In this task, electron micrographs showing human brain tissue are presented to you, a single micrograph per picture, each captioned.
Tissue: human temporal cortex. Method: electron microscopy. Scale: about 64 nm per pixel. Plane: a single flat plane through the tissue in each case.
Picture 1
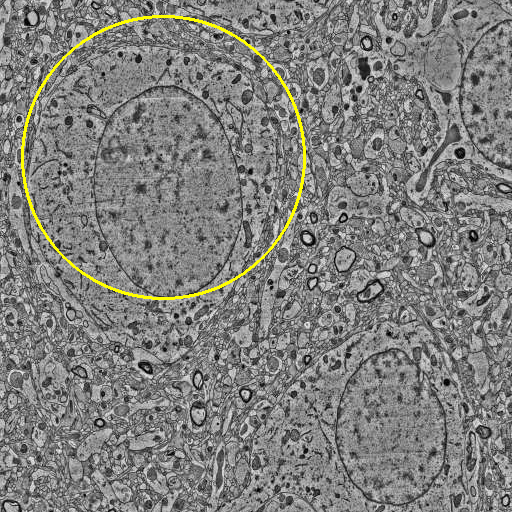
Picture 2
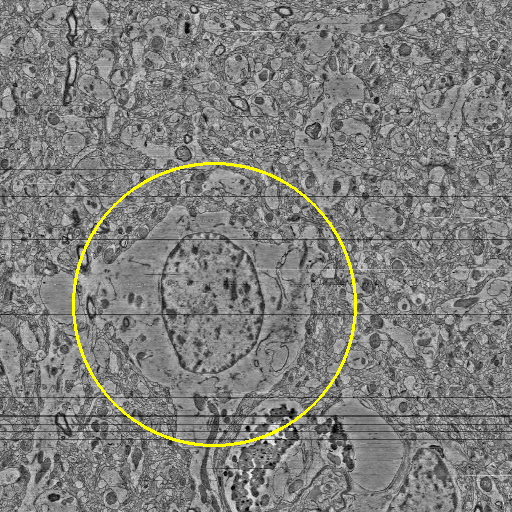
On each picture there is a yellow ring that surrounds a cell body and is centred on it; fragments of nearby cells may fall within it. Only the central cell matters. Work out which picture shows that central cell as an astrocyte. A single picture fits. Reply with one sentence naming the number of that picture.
Of all the pictures, number 2 has the right cell in the centre of its ring.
